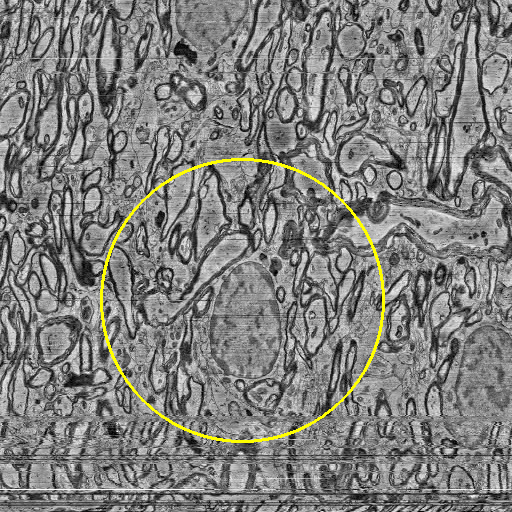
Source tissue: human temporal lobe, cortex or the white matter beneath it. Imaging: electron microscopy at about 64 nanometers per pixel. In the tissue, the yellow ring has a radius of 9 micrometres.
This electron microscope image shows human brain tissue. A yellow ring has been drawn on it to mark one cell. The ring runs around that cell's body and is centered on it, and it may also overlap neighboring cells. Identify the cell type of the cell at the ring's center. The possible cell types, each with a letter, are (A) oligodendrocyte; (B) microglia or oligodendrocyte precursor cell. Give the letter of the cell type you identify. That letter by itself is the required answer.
B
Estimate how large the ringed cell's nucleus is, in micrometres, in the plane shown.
The nucleus works out at approximately 8 by 5 micrometres in this plane.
